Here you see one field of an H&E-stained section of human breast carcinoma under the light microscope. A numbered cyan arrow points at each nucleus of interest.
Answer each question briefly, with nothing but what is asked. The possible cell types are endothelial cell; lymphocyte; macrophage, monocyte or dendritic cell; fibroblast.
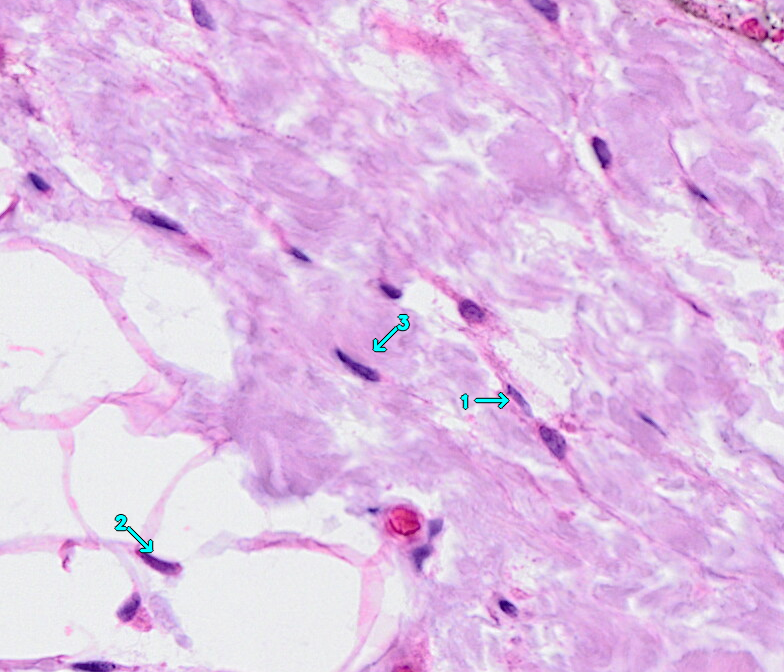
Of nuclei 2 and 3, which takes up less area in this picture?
2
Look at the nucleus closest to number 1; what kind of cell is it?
macrophage, monocyte or dendritic cell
